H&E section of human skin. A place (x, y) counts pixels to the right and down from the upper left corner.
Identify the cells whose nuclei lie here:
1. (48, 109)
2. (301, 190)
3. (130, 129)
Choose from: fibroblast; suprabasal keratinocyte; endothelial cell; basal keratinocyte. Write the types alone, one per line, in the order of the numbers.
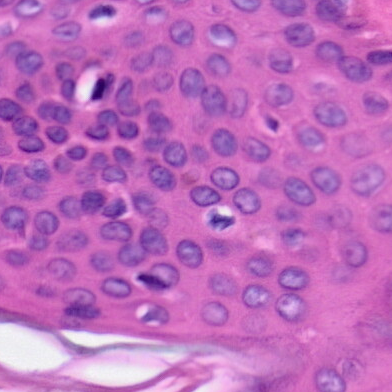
basal keratinocyte
suprabasal keratinocyte
basal keratinocyte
